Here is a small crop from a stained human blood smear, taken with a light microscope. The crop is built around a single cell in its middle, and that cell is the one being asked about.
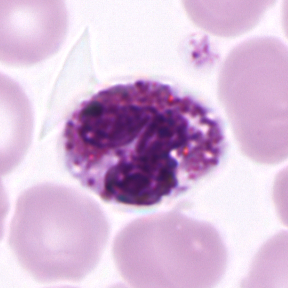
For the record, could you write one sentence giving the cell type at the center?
The centered cell in this crop is an eosinophil.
